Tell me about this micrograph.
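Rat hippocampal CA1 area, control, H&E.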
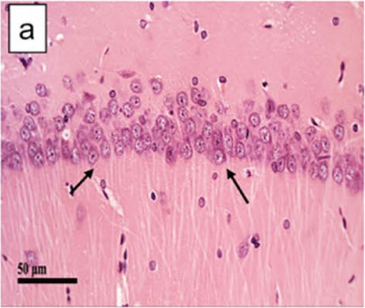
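A band of pyramidal neurons runs across the field, several cells deep, in pink and purple staining. The cells have large, round, pale nuclei each with a distinct dark nucleolus and a thin rim of pink cytoplasm, and they lie evenly side by side. Above and below the band lies pale pink neuropil with scattered small dark nuclei and small vessels. Below the band fine parallel streaks run downward.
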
